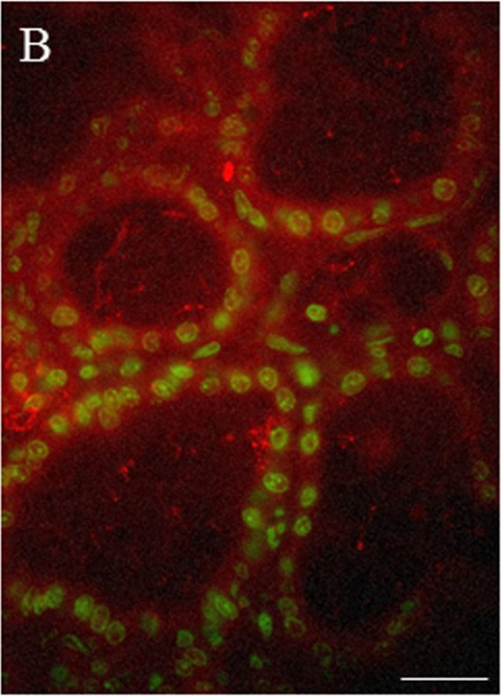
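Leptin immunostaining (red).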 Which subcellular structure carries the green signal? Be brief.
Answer: Nuclei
